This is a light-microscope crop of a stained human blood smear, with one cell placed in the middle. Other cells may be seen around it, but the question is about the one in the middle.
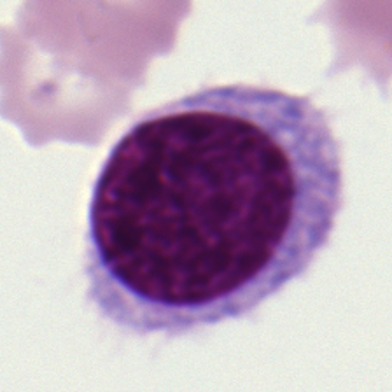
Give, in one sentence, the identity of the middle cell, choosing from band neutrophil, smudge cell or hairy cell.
The centered cell in this crop is a hairy cell.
